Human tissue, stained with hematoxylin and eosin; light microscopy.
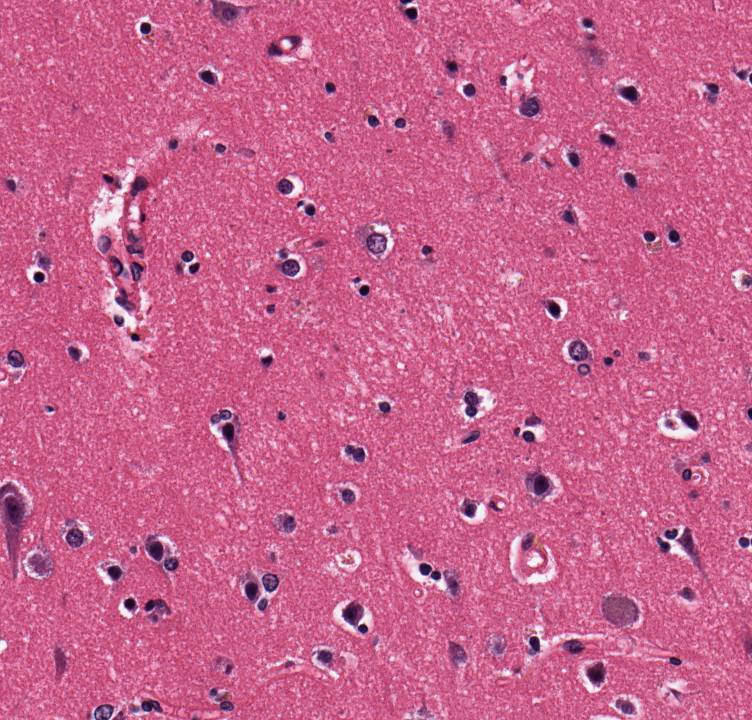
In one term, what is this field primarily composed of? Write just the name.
cerebral cortex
